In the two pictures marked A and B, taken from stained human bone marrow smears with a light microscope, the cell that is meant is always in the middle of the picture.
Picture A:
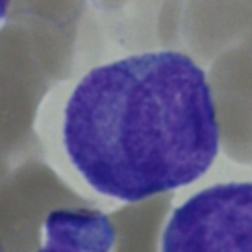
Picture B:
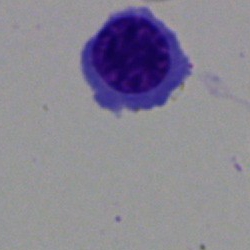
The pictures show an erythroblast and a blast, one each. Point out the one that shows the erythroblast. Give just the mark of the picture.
B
